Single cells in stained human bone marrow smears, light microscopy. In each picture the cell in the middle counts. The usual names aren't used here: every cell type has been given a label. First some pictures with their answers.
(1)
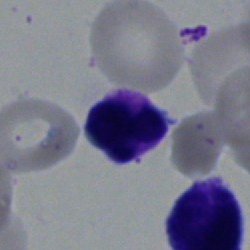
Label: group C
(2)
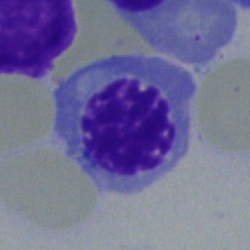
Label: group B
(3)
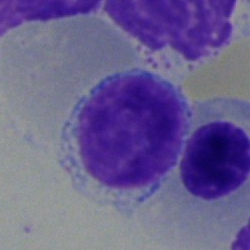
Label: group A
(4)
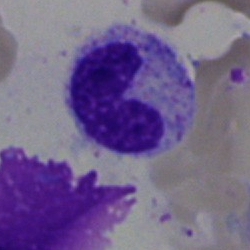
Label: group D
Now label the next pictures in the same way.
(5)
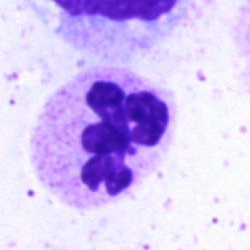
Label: group C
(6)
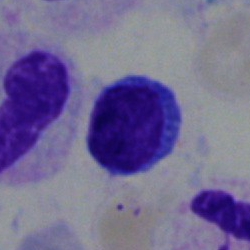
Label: group A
